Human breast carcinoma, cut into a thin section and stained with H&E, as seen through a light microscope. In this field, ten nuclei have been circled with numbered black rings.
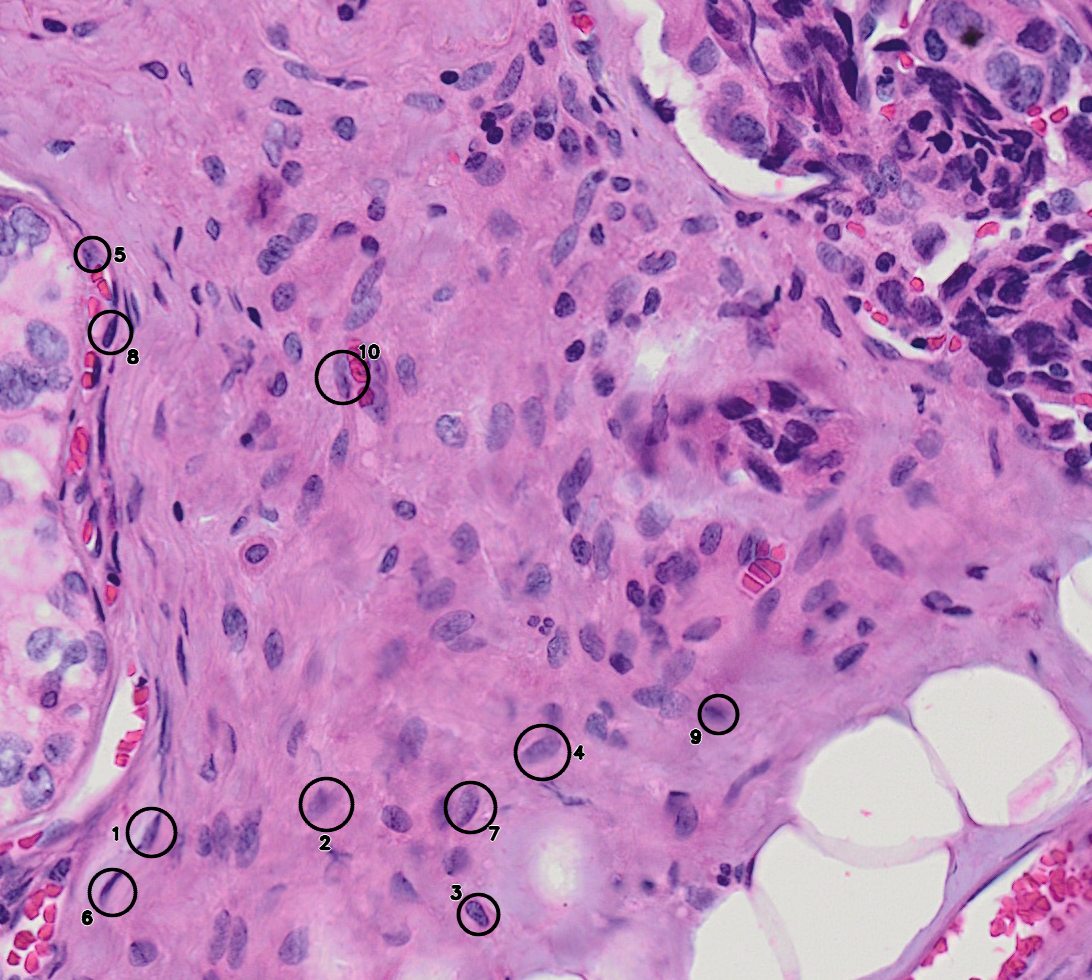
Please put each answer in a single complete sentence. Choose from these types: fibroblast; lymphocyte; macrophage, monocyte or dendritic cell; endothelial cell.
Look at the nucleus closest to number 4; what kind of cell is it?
It is a fibroblast whose nucleus is nearest to number 4.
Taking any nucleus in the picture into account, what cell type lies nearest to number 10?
Number 10 lies closest to the nucleus of an endothelial cell.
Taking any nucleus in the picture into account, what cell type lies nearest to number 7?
It is a macrophage, monocyte or dendritic cell whose nucleus is nearest to number 7.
